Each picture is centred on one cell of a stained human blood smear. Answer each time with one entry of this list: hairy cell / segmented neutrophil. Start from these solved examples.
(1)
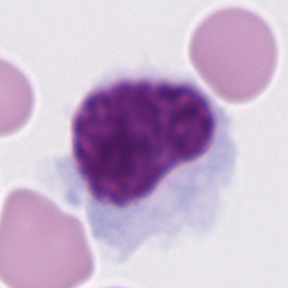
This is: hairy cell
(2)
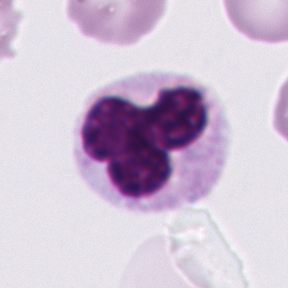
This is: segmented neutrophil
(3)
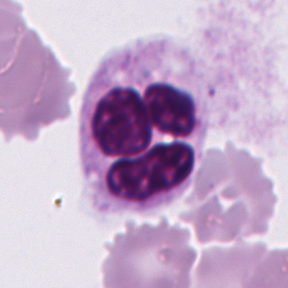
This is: segmented neutrophil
